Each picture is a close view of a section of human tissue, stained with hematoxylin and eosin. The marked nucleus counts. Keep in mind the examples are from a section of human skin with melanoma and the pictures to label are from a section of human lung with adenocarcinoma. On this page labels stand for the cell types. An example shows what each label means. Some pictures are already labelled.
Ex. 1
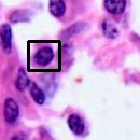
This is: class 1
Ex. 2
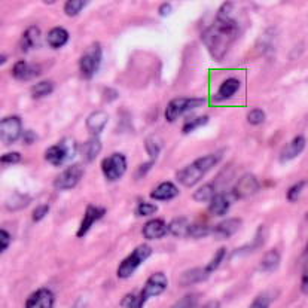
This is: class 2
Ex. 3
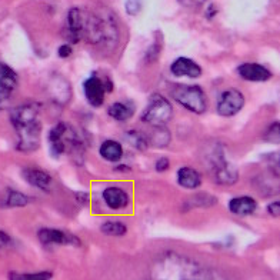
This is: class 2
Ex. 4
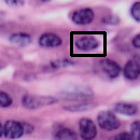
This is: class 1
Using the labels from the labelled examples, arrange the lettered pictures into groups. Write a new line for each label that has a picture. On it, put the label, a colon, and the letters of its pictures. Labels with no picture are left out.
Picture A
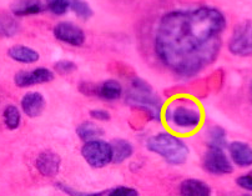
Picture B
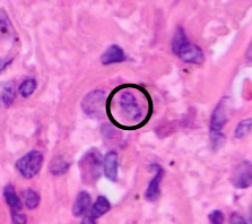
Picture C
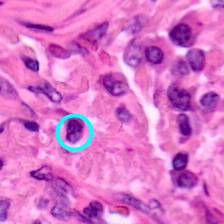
class 1: B, C
class 2: A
